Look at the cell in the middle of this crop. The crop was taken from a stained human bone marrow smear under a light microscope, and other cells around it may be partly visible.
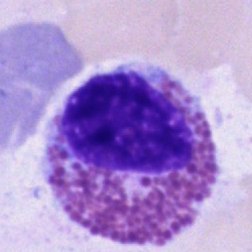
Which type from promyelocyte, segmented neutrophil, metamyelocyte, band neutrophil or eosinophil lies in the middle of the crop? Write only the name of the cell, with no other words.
eosinophil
